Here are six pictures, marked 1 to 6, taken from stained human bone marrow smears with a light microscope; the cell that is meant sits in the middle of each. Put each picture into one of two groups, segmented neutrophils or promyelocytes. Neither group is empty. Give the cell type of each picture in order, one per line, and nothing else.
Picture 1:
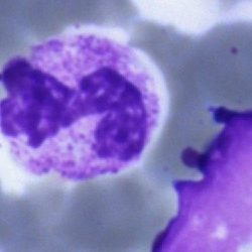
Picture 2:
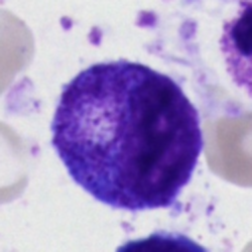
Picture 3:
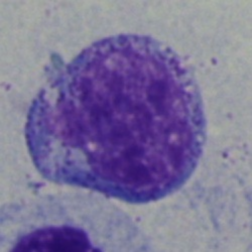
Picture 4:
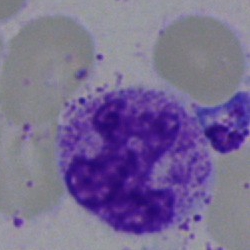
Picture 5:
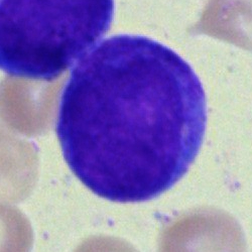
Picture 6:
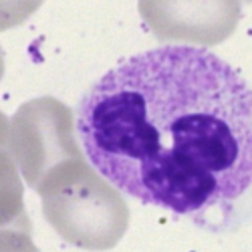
segmented neutrophil
promyelocyte
promyelocyte
segmented neutrophil
promyelocyte
segmented neutrophil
